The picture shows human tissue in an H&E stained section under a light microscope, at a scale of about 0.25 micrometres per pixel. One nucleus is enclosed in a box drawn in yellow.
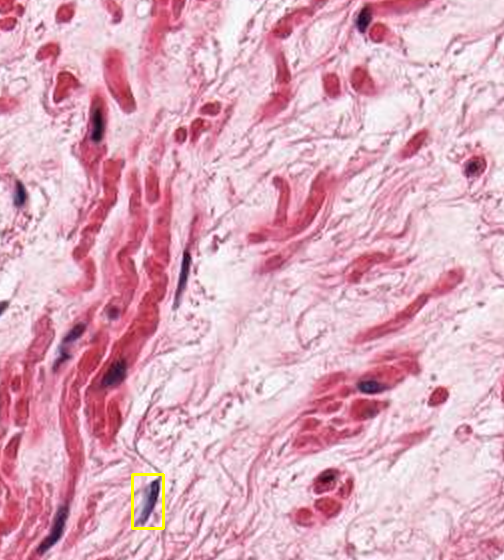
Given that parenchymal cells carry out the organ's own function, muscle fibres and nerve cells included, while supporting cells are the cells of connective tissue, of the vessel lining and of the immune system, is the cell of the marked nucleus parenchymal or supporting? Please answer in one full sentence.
The cell holding the marked nucleus is identified as a supporting cell.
